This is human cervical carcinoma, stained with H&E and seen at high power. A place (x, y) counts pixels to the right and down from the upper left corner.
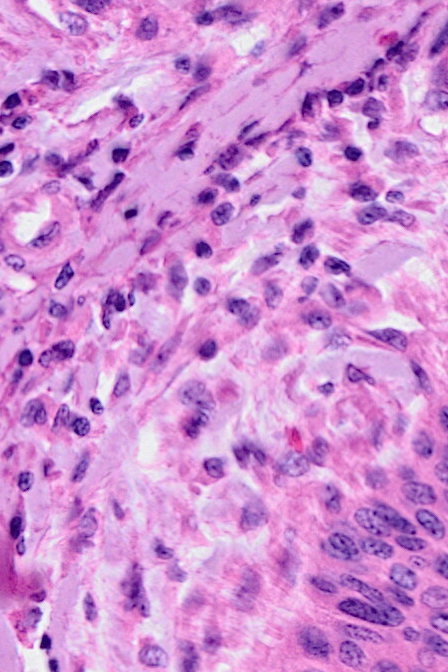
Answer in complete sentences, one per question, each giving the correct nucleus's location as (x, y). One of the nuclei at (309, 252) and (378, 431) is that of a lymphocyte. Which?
Of these two nuclei, only the one at (309, 252) belongs to a lymphocyte.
